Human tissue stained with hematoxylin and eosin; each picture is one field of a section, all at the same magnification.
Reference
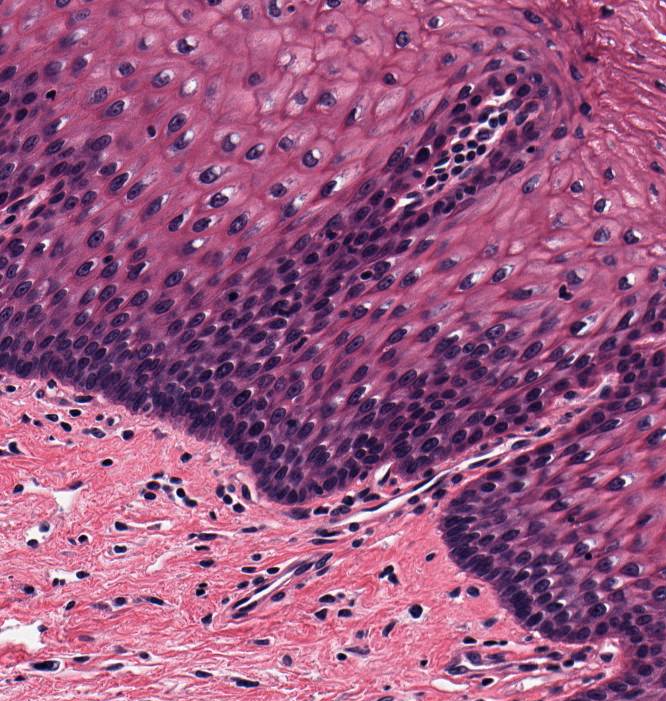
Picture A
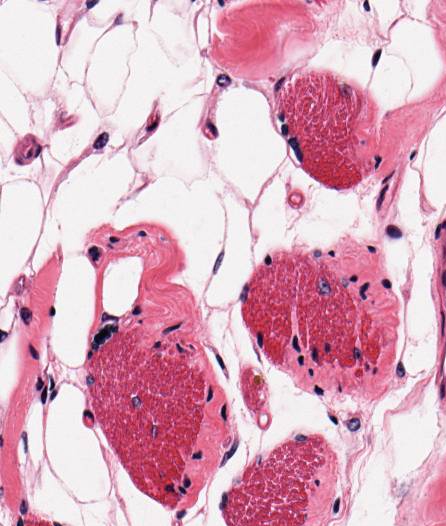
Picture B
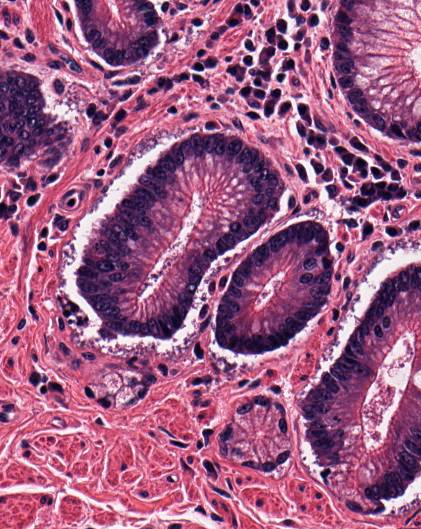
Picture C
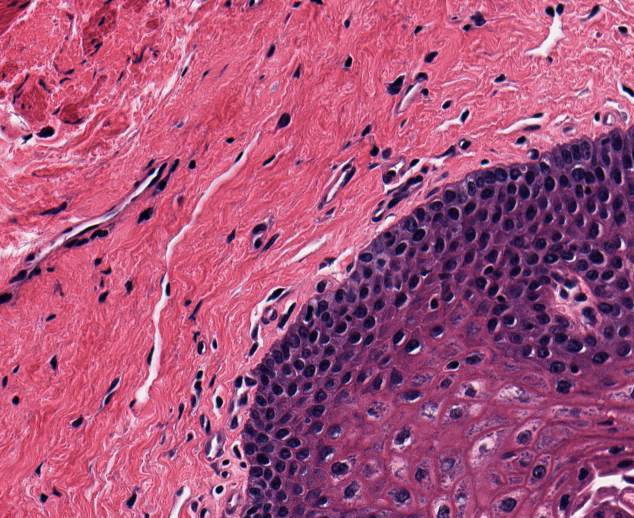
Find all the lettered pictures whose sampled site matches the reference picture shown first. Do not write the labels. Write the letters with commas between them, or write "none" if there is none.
B, C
